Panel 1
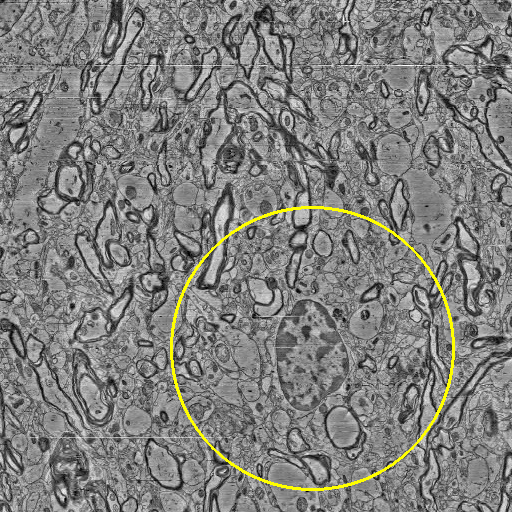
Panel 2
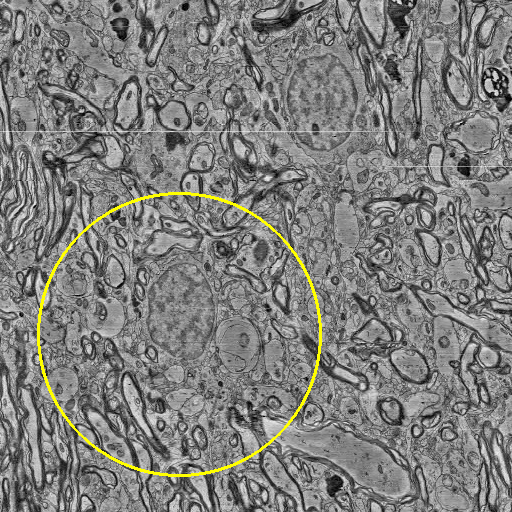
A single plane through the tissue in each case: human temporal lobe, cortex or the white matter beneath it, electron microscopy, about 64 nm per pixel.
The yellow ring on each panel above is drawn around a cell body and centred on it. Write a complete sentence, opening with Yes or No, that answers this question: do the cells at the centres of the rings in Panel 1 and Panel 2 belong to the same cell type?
No, the two cells belong to two cell types.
